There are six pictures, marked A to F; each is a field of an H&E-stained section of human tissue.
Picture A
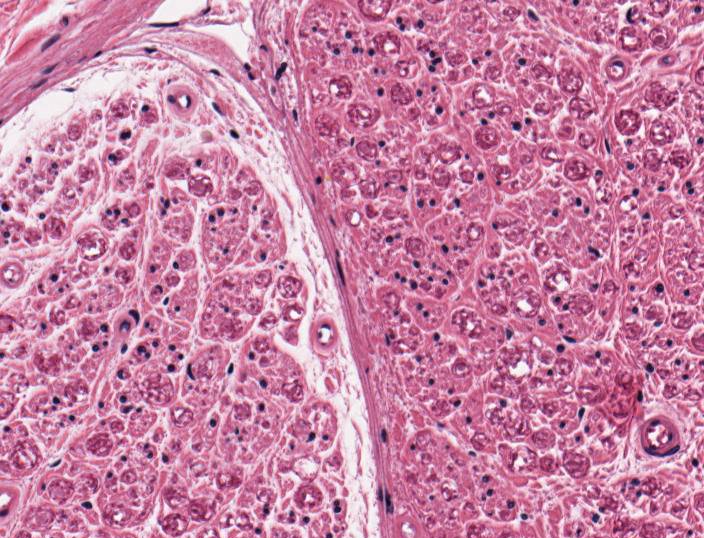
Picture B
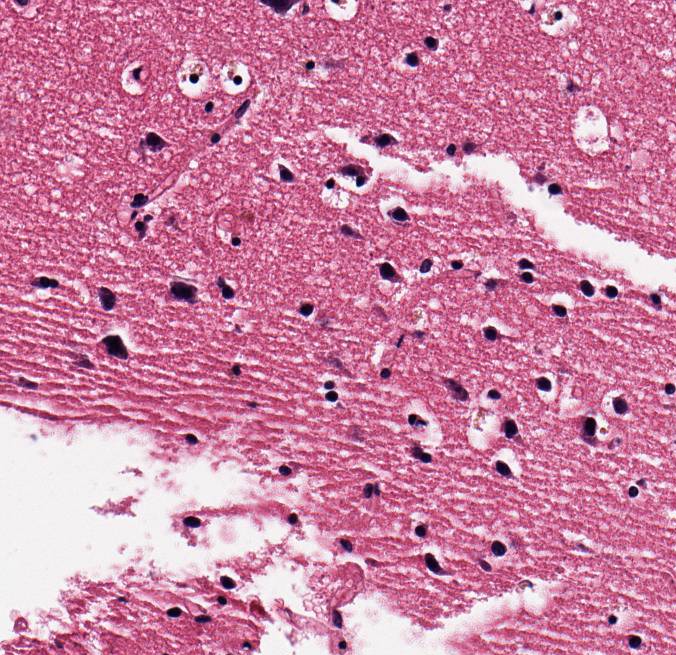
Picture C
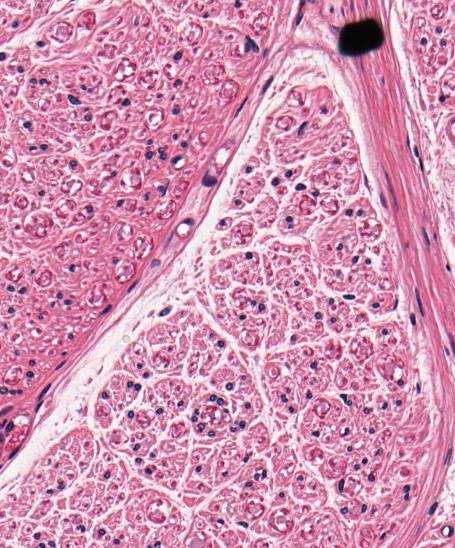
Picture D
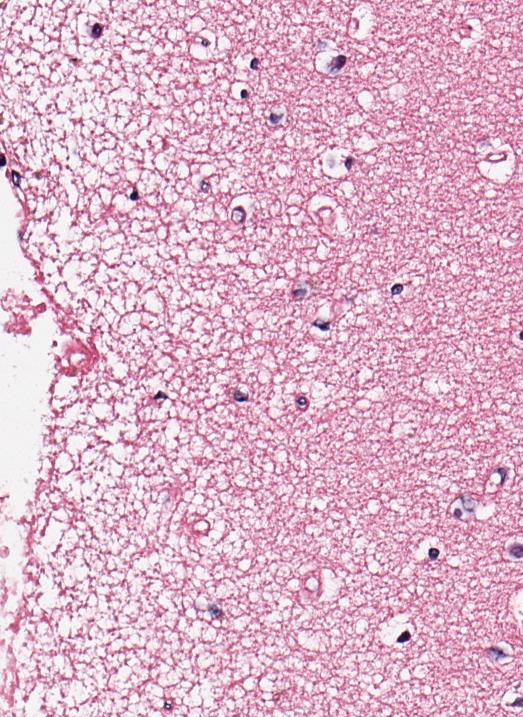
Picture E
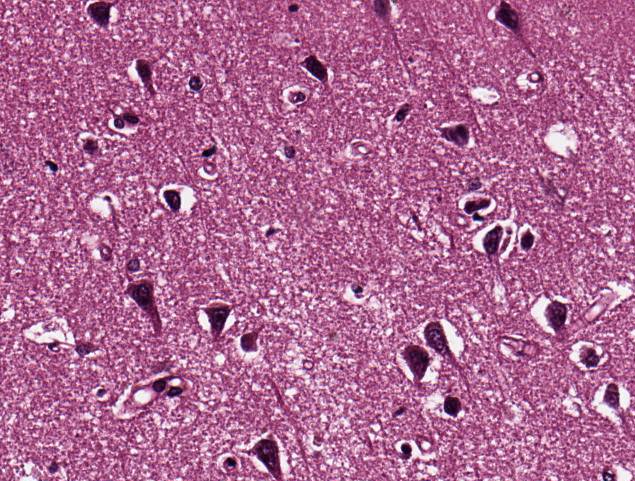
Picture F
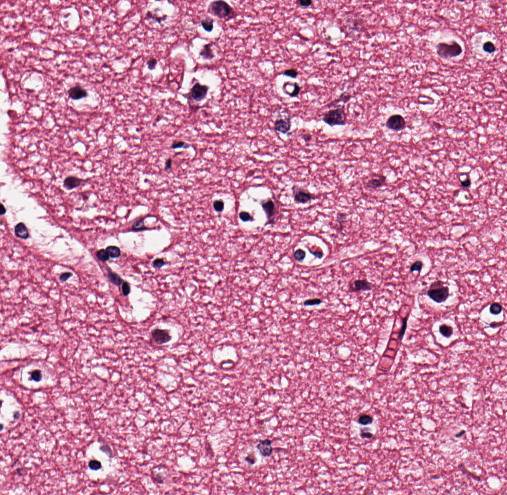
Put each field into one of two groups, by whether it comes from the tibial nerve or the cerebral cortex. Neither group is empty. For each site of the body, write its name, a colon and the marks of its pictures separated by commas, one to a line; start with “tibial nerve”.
tibial nerve: A, C
cerebral cortex: B, D, E, F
